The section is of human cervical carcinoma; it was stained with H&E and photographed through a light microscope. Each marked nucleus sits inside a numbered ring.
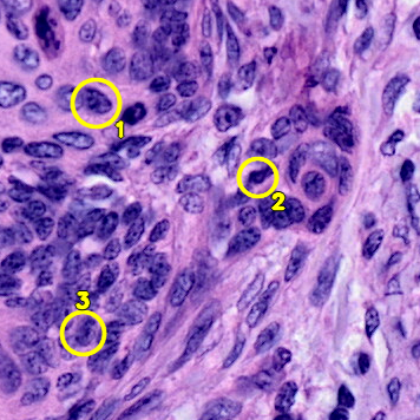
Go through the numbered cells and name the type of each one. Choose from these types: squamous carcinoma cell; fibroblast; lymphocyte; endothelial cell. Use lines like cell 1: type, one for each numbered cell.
cell 1: squamous carcinoma cell
cell 2: lymphocyte
cell 3: squamous carcinoma cell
